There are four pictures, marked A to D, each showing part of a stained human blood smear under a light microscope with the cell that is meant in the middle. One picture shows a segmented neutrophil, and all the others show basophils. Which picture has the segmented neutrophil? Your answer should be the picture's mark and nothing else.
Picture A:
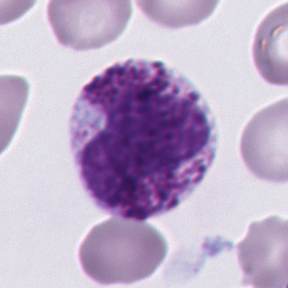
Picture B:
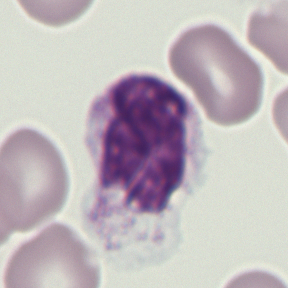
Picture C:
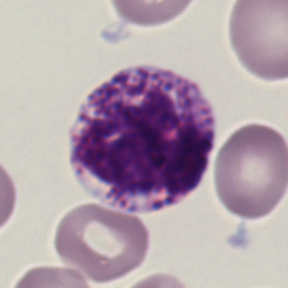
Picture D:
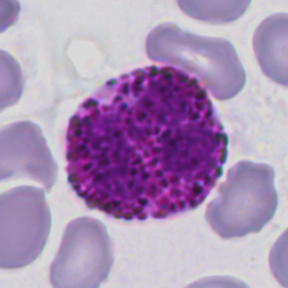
B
